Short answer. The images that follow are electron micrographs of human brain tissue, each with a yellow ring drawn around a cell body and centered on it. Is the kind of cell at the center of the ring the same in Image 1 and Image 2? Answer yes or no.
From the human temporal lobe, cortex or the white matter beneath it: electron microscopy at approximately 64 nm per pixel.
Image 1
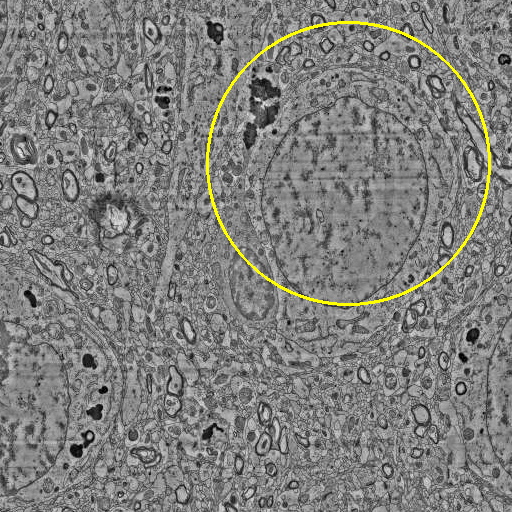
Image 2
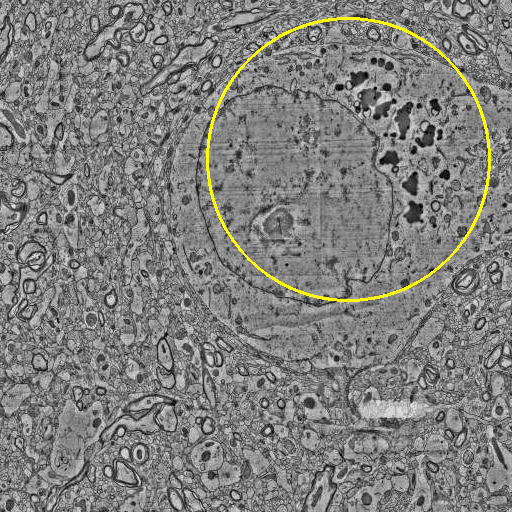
yes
